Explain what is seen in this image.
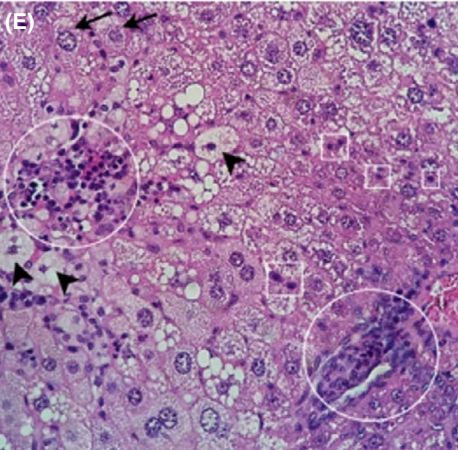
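Here liver tissue at high power shows damaged hepatocytes with inflammatory cells gathered among them. Two dense clusters of small cells with dark, round nuclei stand out against the larger, paler hepatocytes; one sits around a small vessel. Many hepatocytes have large round nuclei with coarse purple chromatin, and several are swollen with clear vacuoles of various sizes in their cytoplasm. Elsewhere the cytoplasm is pale and granular. Scattered small cells with condensed dark nuclei lie between the hepatocytes.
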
